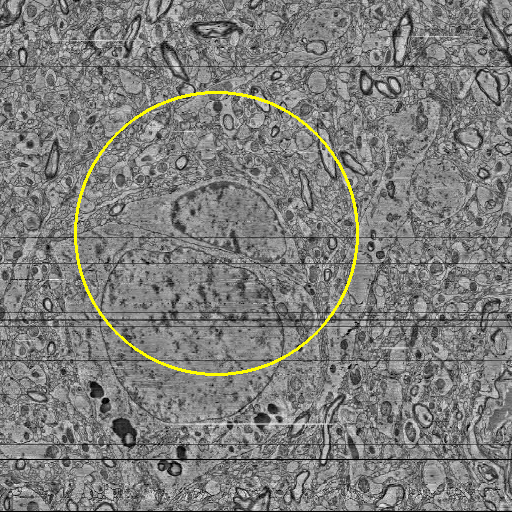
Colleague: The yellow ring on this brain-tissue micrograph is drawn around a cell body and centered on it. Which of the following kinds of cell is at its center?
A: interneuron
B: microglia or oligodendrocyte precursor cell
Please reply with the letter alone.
B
